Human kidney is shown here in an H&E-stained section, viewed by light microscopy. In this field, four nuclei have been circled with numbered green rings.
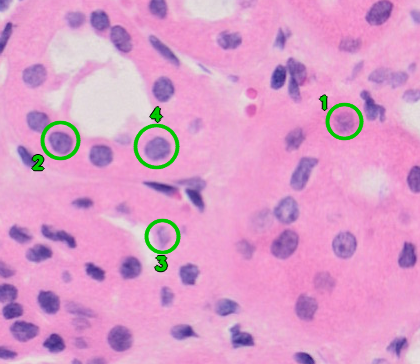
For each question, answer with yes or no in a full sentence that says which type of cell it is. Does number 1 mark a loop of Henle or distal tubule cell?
No, cell 1 is identified not as a loop of Henle or distal tubule cell but as a proximal tubule cell.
